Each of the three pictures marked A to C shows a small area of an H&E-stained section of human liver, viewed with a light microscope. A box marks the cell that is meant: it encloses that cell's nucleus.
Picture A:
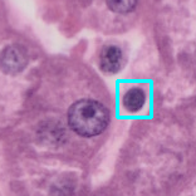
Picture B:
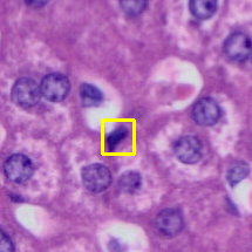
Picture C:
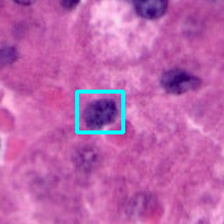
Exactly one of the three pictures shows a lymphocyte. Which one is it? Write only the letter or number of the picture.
A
